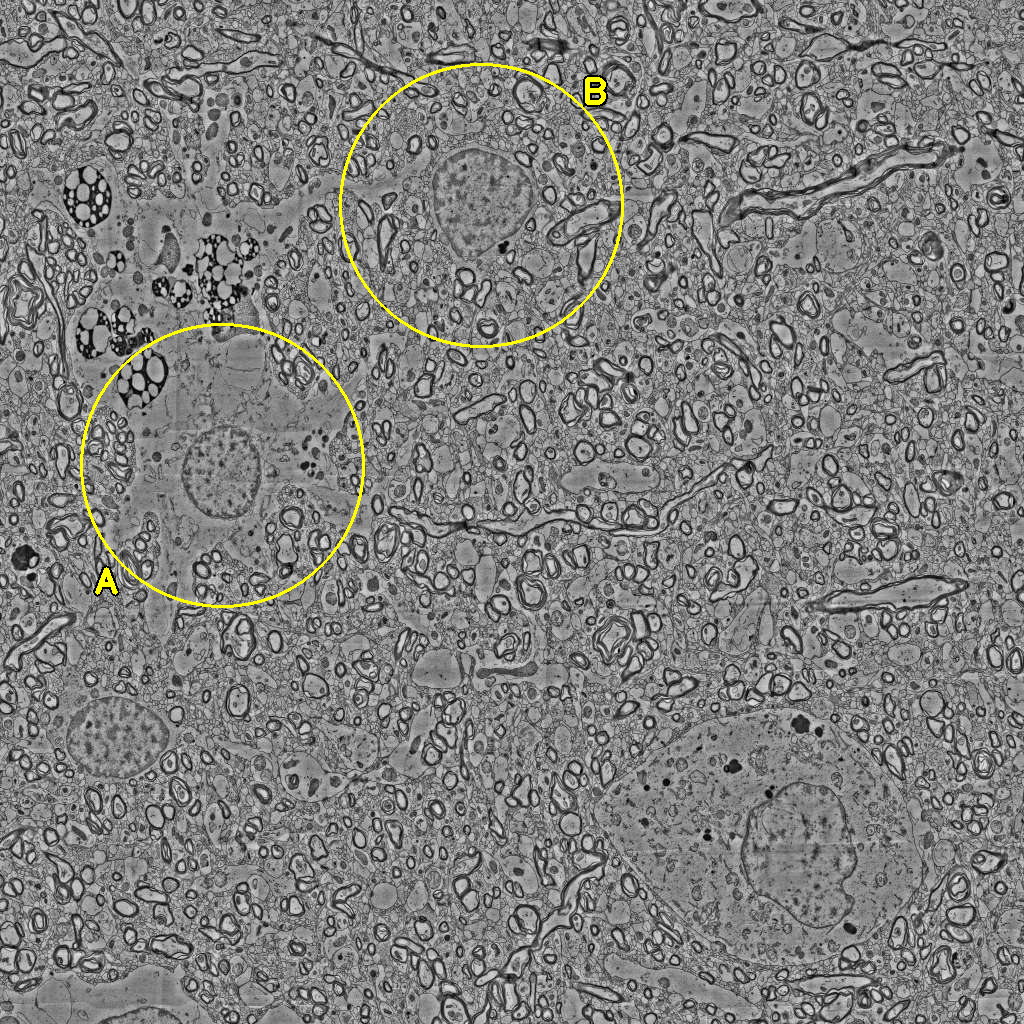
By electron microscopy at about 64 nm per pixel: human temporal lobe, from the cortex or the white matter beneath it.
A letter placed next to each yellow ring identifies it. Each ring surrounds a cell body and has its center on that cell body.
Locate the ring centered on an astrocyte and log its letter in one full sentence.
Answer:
Ring A has at its center the cell that the task asks for.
